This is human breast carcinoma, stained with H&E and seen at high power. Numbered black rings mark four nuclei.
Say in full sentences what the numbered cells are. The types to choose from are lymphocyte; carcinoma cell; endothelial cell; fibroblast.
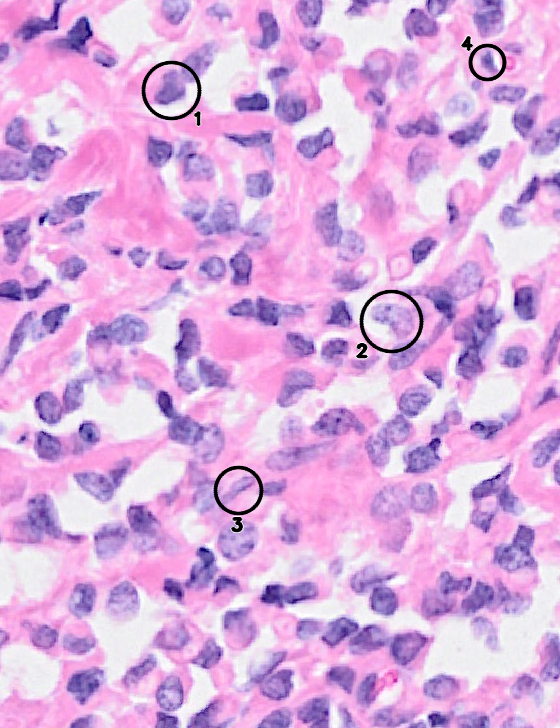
Cells 1 and 2 are carcinoma cells. Cells 3 and 4 are endothelial cells.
